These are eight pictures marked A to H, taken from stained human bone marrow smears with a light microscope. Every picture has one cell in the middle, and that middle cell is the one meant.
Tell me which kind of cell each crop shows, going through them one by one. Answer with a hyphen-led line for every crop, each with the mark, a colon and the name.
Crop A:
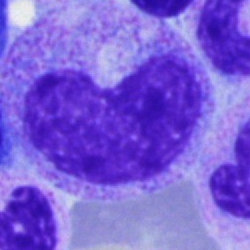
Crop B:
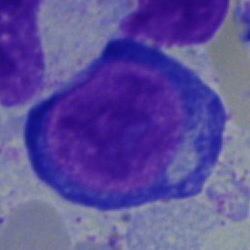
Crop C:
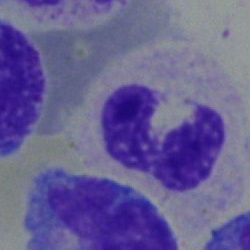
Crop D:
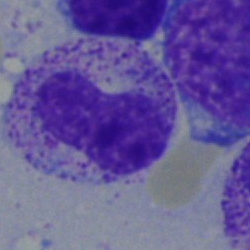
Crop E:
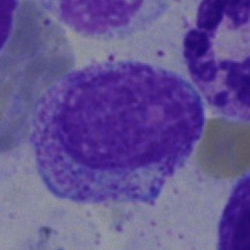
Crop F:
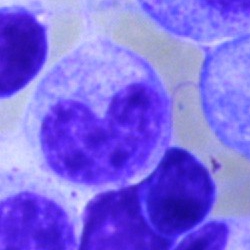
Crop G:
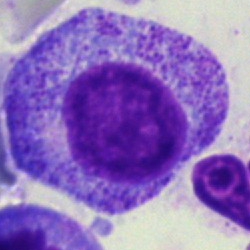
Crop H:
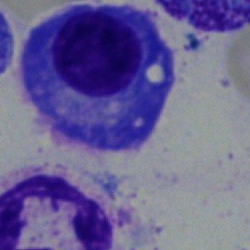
- A: metamyelocyte
- B: proerythroblast
- C: segmented neutrophil
- D: metamyelocyte
- E: myelocyte
- F: band neutrophil
- G: myelocyte
- H: plasma cell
